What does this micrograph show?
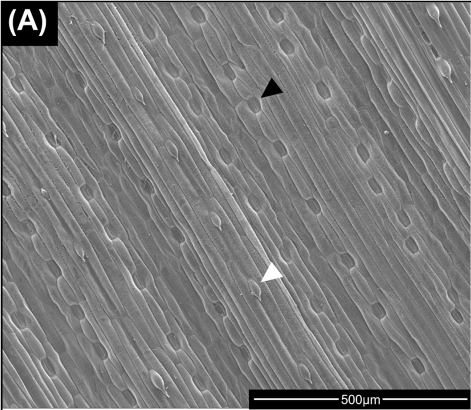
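This surface view of a grass leaf epidermis shows elongated epidermal cells lined up in parallel files along the leaf. Many small oval stomatal pores are set in rows between the long cells, while fewer pointed trichomes rise from the surface. The files of cells and the rows of pores all run in the same direction, giving the surface a regular, striped pattern.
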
